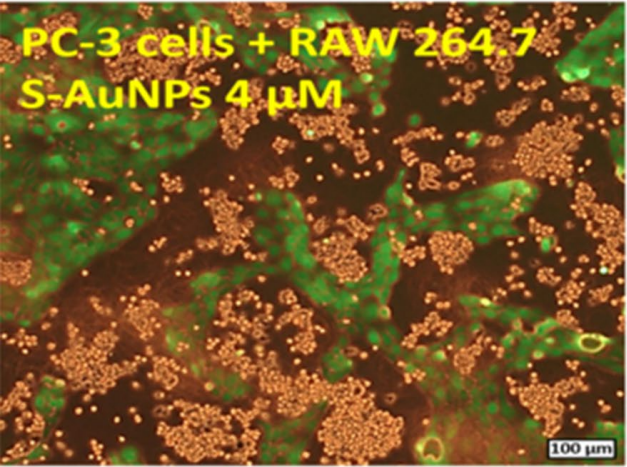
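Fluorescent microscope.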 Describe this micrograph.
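The green cells form broad, branching patches and bands whose single cell borders are mostly indistinct, separated by dark empty areas. The small round cells are bright orange and lie in dense clusters and as scattered single cells over both the green patches and the dark areas.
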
